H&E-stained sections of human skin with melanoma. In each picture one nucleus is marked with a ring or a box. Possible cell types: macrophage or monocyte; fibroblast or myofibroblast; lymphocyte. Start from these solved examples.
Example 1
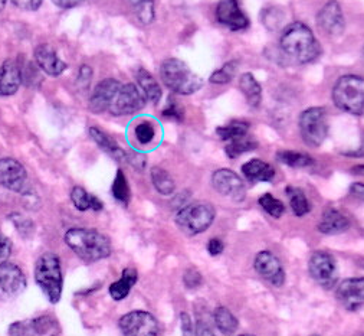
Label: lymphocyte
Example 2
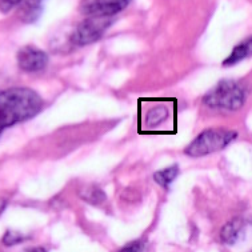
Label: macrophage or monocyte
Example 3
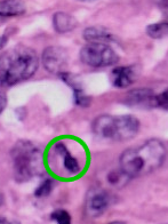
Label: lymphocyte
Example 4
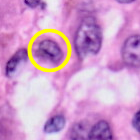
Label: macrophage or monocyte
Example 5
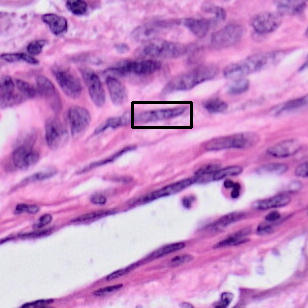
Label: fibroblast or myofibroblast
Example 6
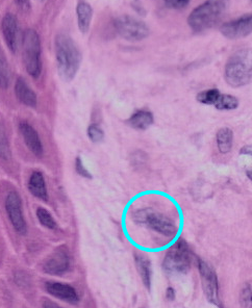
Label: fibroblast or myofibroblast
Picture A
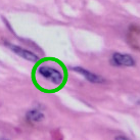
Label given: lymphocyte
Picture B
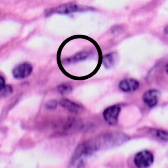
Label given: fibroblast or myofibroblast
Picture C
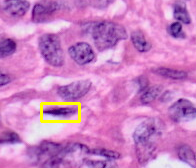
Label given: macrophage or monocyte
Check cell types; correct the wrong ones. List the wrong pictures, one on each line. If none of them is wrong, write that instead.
C: change macrophage or monocyte to fibroblast or myofibroblast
